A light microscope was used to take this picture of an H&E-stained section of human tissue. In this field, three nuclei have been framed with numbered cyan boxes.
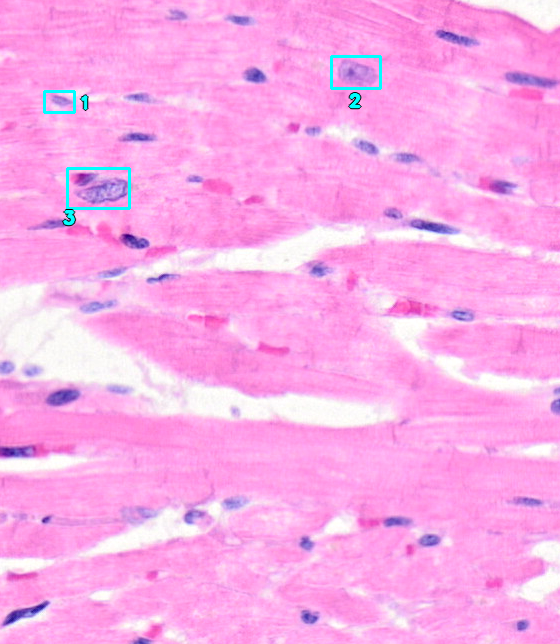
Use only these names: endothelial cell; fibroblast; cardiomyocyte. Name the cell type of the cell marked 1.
endothelial cell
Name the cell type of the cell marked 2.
cardiomyocyte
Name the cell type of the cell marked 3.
cardiomyocyte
